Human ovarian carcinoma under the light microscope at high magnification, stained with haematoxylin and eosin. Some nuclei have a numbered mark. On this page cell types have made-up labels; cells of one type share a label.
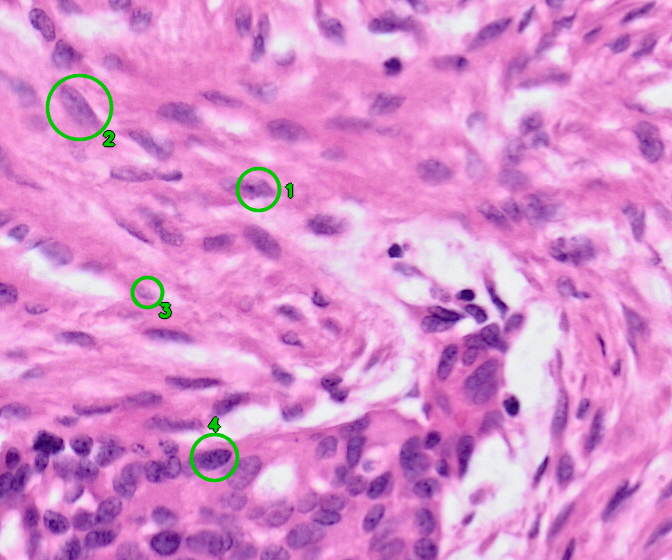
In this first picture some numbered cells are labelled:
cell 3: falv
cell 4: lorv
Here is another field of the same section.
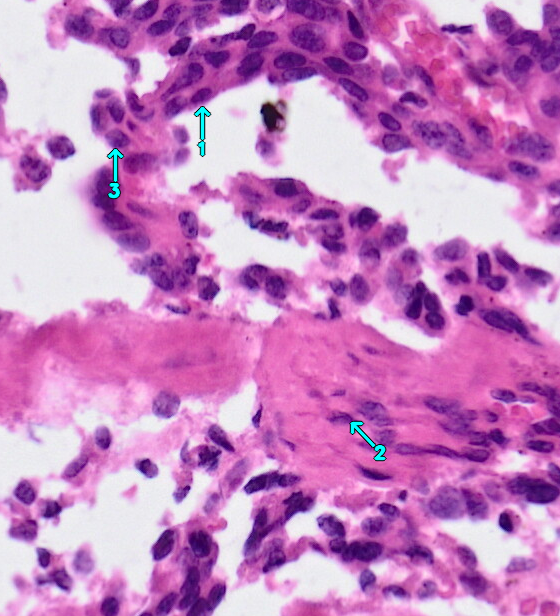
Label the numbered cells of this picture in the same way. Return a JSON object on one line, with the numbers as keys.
{"1": "lorv", "2": "falv", "3": "lorv"}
